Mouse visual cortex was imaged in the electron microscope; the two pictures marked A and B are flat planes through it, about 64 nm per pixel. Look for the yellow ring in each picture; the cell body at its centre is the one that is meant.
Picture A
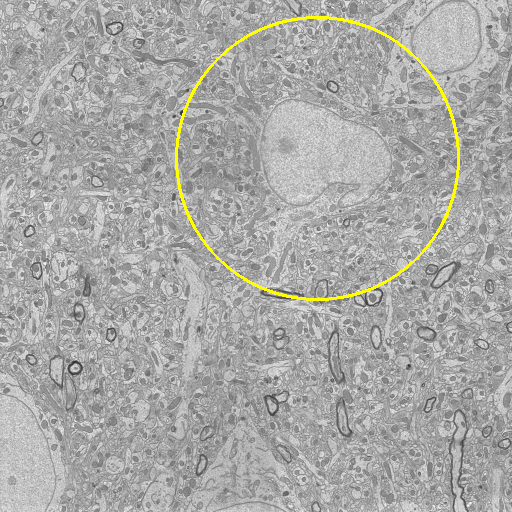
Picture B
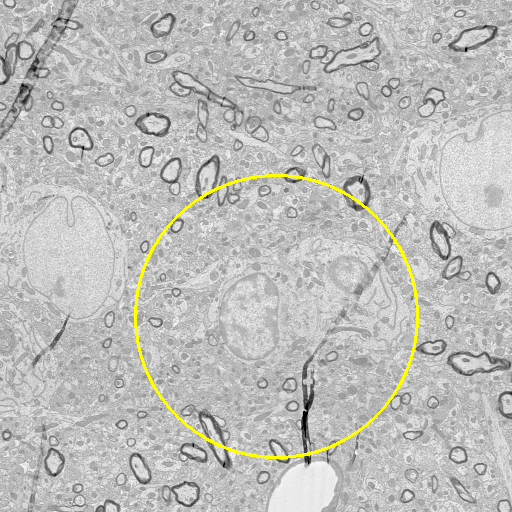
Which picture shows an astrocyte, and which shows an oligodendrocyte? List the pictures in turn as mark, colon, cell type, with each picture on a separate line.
A: astrocyte
B: oligodendrocyte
